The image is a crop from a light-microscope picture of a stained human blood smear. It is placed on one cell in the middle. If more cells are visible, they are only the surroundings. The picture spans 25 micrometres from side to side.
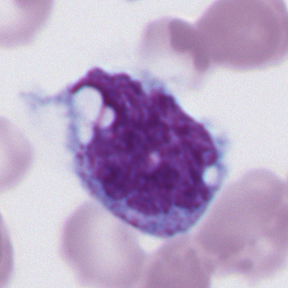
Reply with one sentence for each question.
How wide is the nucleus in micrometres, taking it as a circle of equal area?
About 11 micrometres: that is the diameter of the nucleus.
